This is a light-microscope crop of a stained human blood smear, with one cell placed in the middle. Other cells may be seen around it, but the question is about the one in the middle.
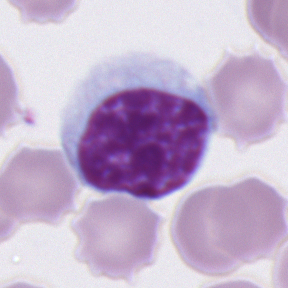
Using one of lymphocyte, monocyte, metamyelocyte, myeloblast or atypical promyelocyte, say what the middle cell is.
lymphocyte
